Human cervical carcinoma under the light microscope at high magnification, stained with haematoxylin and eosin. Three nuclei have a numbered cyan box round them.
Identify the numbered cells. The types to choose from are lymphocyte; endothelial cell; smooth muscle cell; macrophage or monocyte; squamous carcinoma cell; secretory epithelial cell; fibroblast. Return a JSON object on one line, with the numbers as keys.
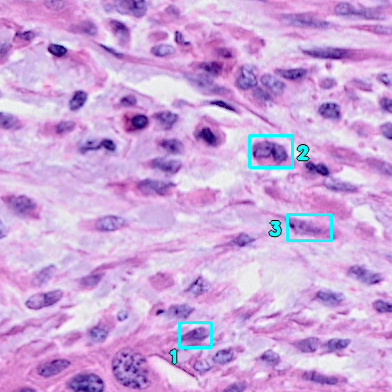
{"1": "fibroblast", "2": "macrophage or monocyte", "3": "fibroblast"}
